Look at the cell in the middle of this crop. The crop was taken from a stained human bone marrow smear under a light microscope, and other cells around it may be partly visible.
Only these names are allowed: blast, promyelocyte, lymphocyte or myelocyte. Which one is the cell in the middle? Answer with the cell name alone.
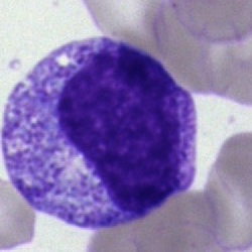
myelocyte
